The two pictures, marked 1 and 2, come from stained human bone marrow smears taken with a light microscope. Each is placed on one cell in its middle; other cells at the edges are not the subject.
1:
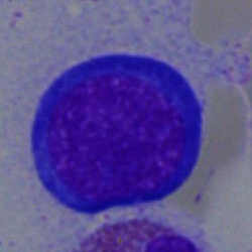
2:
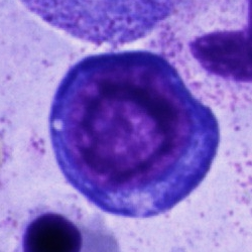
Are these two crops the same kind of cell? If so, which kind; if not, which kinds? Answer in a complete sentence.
Yes, the cells that the two crops centre on are proerythroblasts.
